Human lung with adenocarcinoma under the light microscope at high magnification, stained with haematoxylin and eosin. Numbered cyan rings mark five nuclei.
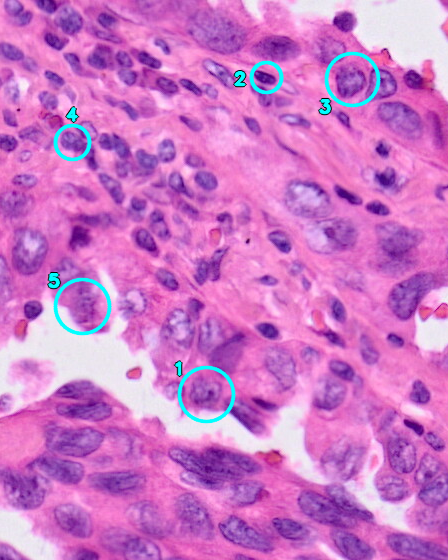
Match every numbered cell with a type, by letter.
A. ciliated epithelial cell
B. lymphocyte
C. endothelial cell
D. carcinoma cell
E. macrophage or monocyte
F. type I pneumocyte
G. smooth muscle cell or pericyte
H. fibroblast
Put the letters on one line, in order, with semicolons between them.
D; B; D; B; D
